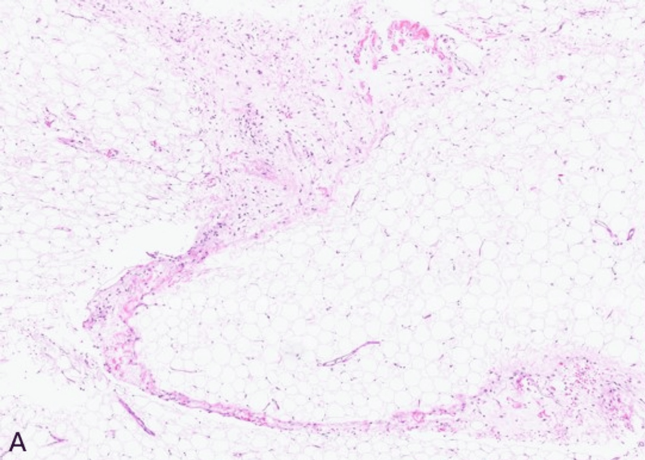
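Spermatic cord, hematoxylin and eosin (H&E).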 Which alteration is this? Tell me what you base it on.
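A curving band of pink fibrous tissue runs through pale fat. The band holds more scattered nuclei than the surrounding fat. That points to this answer: thickened fibrous septate with increase in cellularity.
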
